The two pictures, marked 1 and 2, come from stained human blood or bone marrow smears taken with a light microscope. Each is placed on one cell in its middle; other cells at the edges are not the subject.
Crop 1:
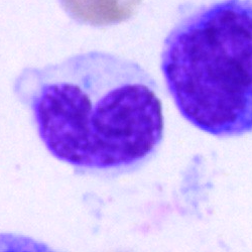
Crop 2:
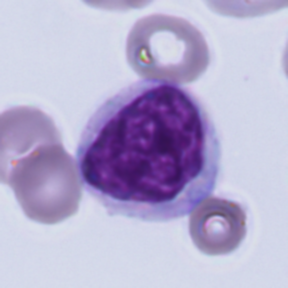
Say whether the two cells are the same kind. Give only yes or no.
yes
